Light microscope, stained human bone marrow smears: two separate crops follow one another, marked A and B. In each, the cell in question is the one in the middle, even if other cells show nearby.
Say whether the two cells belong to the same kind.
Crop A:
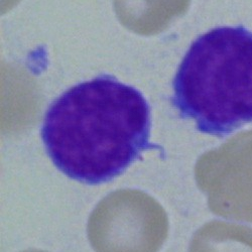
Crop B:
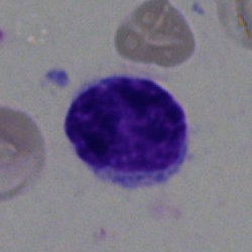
yes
